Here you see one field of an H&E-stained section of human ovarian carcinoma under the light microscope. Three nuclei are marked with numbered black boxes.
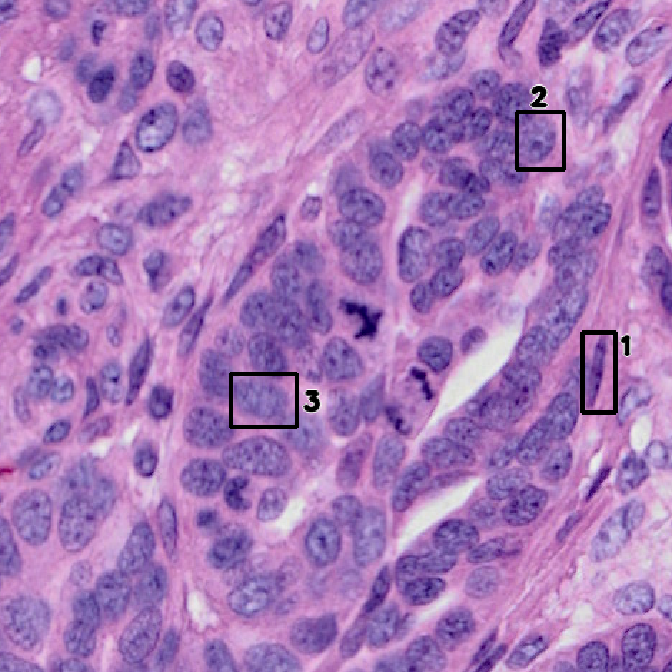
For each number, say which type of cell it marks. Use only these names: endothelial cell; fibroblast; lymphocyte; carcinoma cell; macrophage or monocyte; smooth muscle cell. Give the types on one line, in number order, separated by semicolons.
fibroblast; carcinoma cell; carcinoma cell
